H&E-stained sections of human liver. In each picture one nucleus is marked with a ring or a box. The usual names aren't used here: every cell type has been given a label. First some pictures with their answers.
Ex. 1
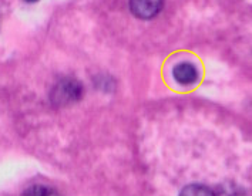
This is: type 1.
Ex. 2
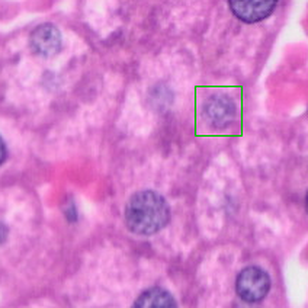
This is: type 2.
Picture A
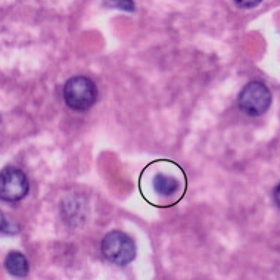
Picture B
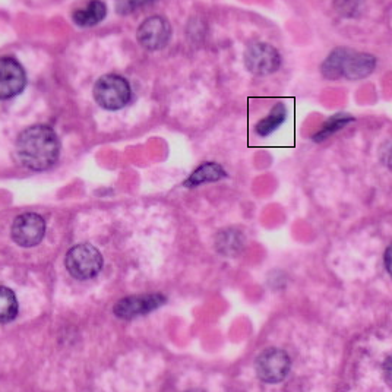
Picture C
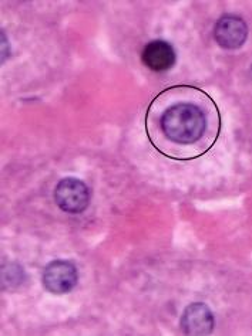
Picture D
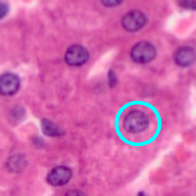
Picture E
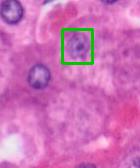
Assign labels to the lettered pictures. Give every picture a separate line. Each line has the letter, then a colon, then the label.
A: type 1.
B: type 1.
C: type 2.
D: type 2.
E: type 2.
